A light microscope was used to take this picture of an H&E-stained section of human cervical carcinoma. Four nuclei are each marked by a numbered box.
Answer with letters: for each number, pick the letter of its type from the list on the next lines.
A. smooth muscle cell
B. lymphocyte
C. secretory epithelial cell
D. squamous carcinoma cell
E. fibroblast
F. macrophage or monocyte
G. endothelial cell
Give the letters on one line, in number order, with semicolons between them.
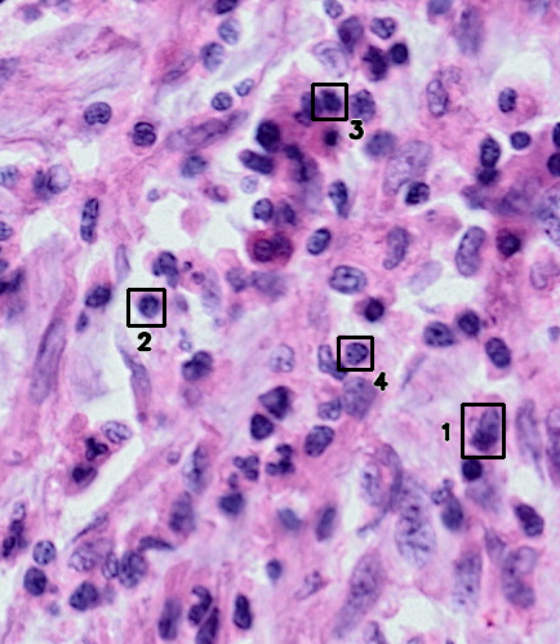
F; B; B; B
